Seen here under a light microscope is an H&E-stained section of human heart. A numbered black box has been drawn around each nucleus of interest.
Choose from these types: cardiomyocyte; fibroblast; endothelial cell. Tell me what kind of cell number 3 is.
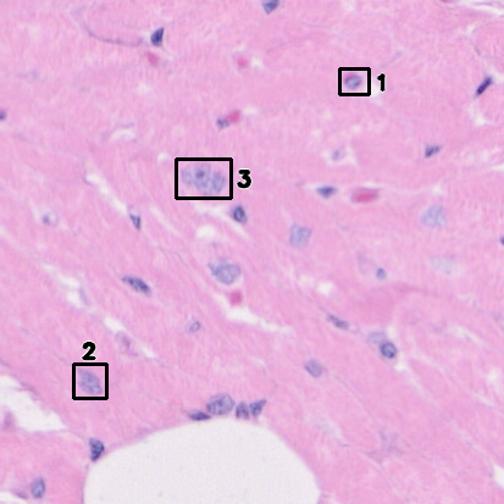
cardiomyocyte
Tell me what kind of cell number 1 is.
endothelial cell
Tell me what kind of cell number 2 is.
cardiomyocyte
